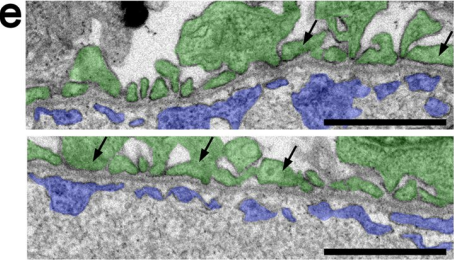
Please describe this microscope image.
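This high-magnification electron micrograph shows the glomerular capillary wall, with podocyte foot processes shaded green above a grey basement membrane and the fenestrated endothelium shaded blue beneath it. Many of the foot processes are broad, flattened and irregular in shape rather than small and evenly spaced, and the endothelium forms a thin, discontinuous blue layer along the capillary lumen.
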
